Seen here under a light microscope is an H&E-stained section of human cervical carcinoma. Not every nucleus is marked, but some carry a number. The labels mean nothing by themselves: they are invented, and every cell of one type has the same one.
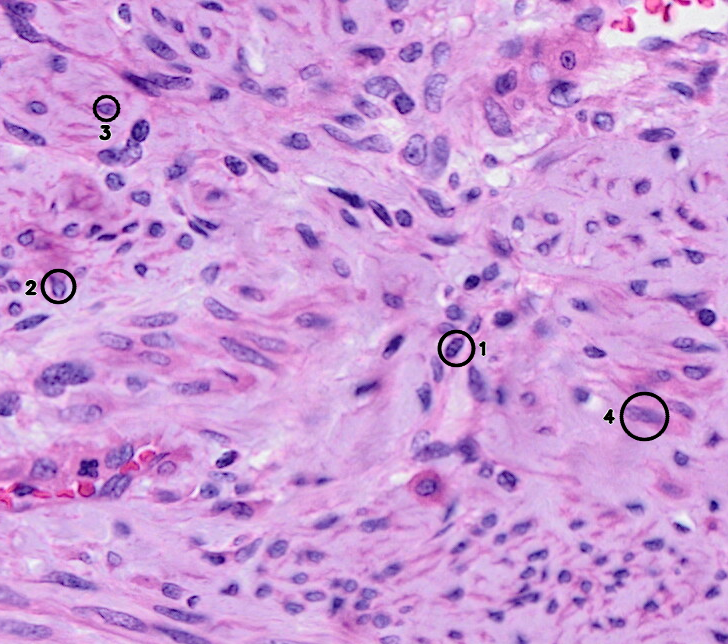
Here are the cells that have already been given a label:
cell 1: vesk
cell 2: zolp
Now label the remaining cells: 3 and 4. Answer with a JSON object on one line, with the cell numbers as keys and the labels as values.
{"3": "zolp", "4": "zolp"}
